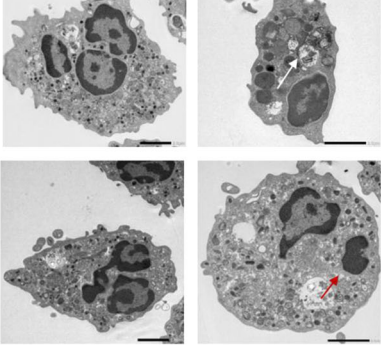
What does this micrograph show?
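Four transmission electron micrographs each show a single neutrophil in section. The nuclei are lobed or segmented, with dark chromatin, and in one cell the nuclear material appears as a compact, very dark mass. The cytoplasm is filled with numerous small electron-dense granules. The cell surfaces are irregular, with short projections.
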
